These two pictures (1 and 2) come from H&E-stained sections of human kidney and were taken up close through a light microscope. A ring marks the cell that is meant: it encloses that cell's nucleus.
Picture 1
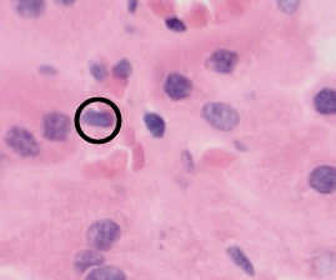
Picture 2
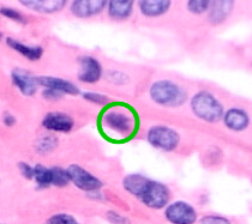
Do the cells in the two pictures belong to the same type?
no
